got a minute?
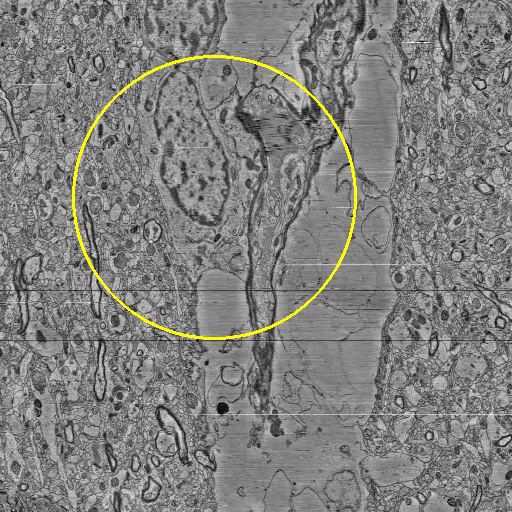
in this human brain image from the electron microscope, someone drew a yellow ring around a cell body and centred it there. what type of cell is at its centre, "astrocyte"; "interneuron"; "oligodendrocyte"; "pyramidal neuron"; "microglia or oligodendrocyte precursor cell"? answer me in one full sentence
It's a microglial cell or oligodendrocyte precursor cell at the middle of that yellow ring in the shot.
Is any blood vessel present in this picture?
Yes, one is visible.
